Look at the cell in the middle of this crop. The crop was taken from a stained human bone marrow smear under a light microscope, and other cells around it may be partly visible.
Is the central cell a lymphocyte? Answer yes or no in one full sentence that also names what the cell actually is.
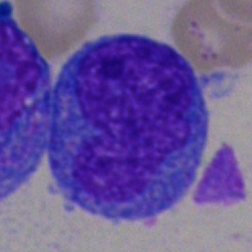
No, the cell at the centre of the crop is a blast and not a lymphocyte.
